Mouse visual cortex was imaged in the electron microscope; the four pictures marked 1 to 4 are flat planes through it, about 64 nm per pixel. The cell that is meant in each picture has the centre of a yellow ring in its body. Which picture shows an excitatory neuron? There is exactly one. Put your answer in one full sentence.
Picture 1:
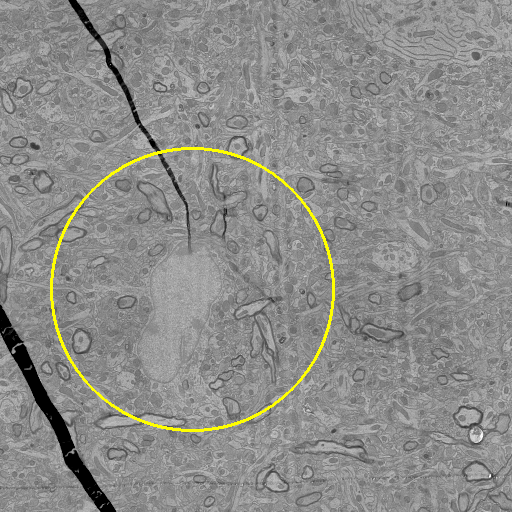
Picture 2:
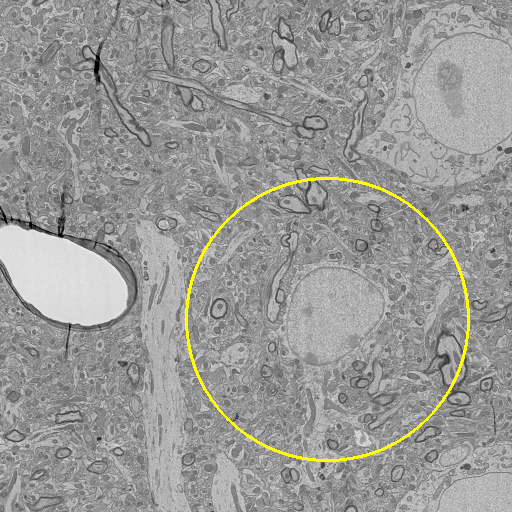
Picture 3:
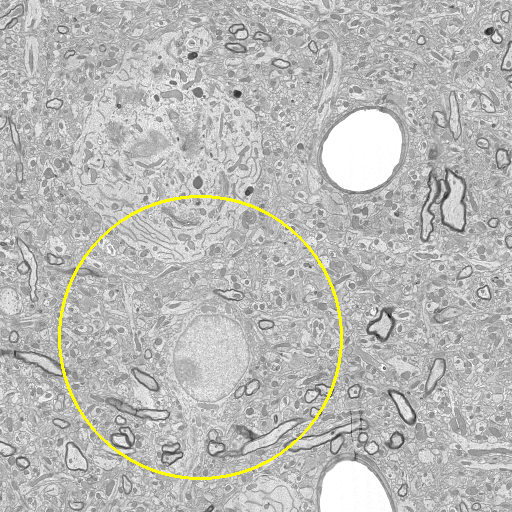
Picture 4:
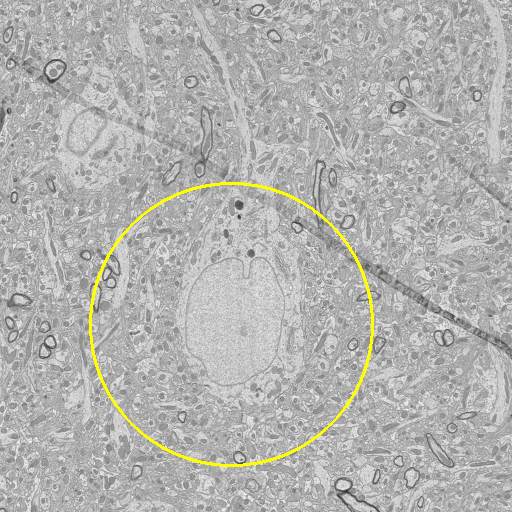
Picture 4 is the one that shows the excitatory neuron.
